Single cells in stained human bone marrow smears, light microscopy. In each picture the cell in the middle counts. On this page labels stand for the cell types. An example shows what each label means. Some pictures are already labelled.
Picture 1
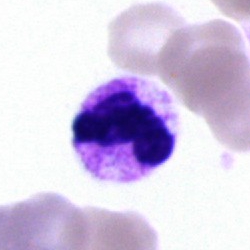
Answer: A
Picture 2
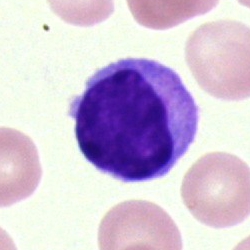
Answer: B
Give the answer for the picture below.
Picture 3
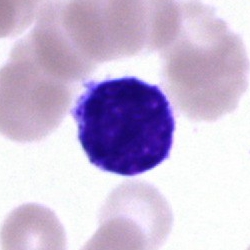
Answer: B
